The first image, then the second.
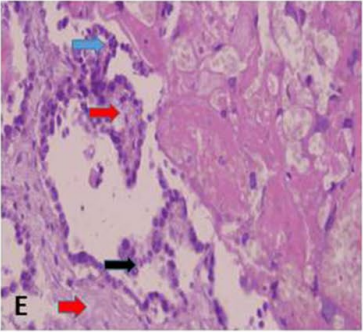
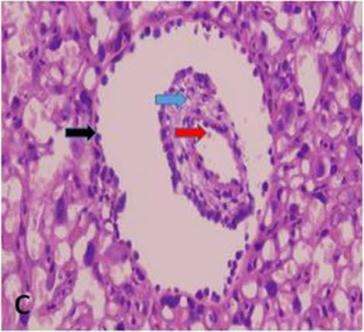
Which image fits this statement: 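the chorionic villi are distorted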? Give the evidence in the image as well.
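First image: the villus is irregular and ragged beside pale, disorganised pink material. Second image: the villus is a neat oval with an even border inside a clear space.
Hence: the first image.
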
